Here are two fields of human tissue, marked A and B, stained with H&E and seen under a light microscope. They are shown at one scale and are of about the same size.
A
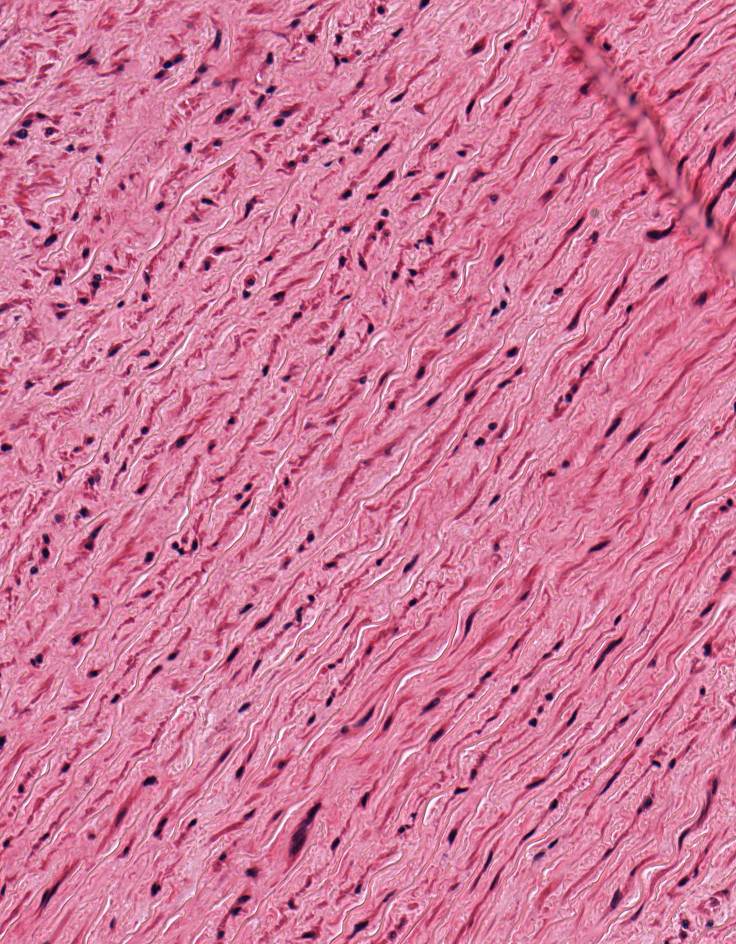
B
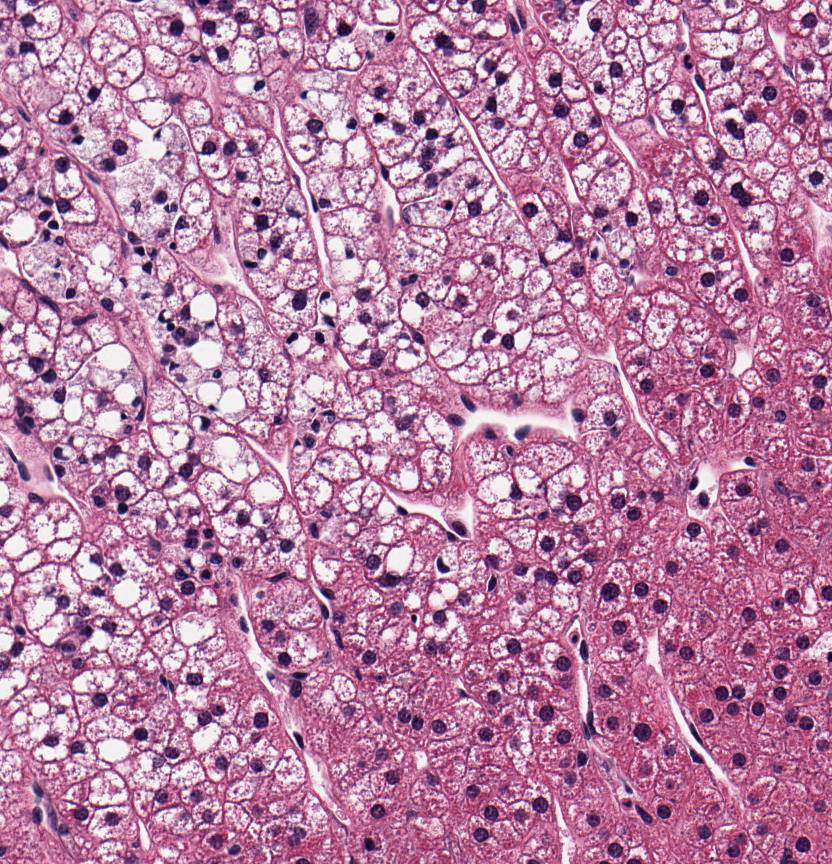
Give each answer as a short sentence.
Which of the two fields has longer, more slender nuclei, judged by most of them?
Longer, more slender nuclei lie in picture A.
